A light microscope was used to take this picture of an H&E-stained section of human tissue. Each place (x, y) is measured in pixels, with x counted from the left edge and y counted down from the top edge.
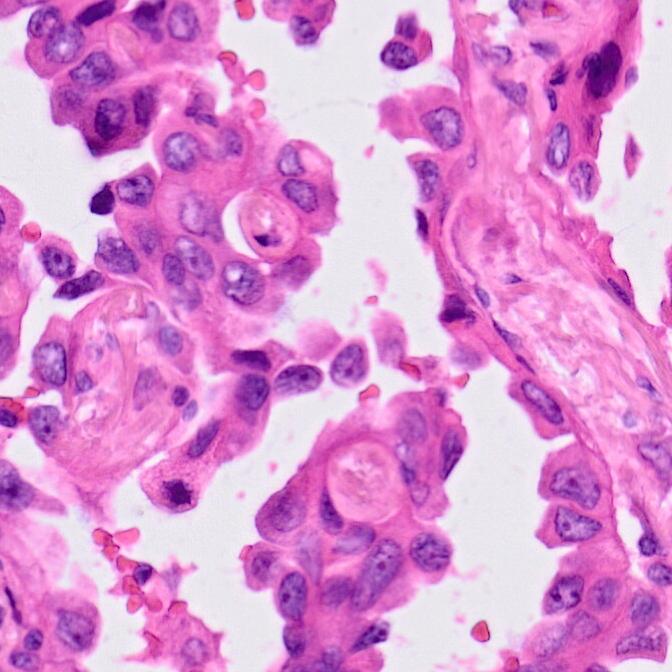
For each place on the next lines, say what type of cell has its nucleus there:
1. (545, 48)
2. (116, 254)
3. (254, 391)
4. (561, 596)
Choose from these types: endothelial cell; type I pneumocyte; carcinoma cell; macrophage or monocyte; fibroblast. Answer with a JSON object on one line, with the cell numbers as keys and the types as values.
{"1": "fibroblast", "2": "carcinoma cell", "3": "carcinoma cell", "4": "carcinoma cell"}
